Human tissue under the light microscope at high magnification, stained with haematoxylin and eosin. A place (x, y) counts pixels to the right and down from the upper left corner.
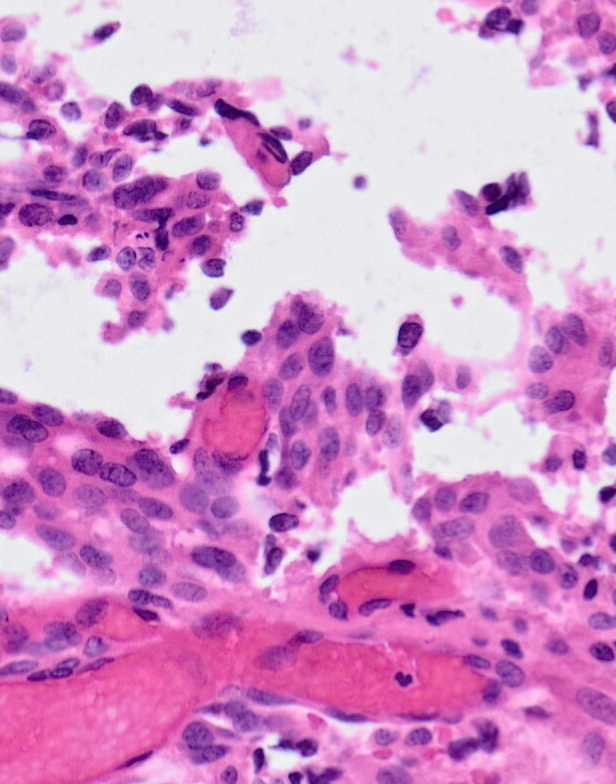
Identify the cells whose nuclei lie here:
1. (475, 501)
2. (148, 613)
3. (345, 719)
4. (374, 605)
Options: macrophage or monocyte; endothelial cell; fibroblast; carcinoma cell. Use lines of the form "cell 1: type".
cell 1: carcinoma cell
cell 2: endothelial cell
cell 3: fibroblast
cell 4: endothelial cell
